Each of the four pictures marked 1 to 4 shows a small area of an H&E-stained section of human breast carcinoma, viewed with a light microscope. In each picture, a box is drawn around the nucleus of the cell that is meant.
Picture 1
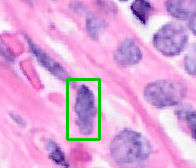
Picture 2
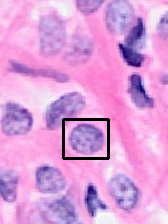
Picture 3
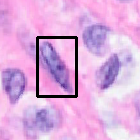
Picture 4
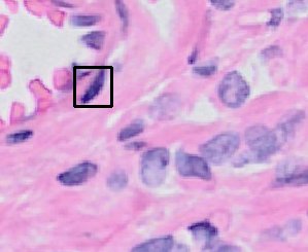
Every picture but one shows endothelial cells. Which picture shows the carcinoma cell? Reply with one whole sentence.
Picture 2 shows the carcinoma cell.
